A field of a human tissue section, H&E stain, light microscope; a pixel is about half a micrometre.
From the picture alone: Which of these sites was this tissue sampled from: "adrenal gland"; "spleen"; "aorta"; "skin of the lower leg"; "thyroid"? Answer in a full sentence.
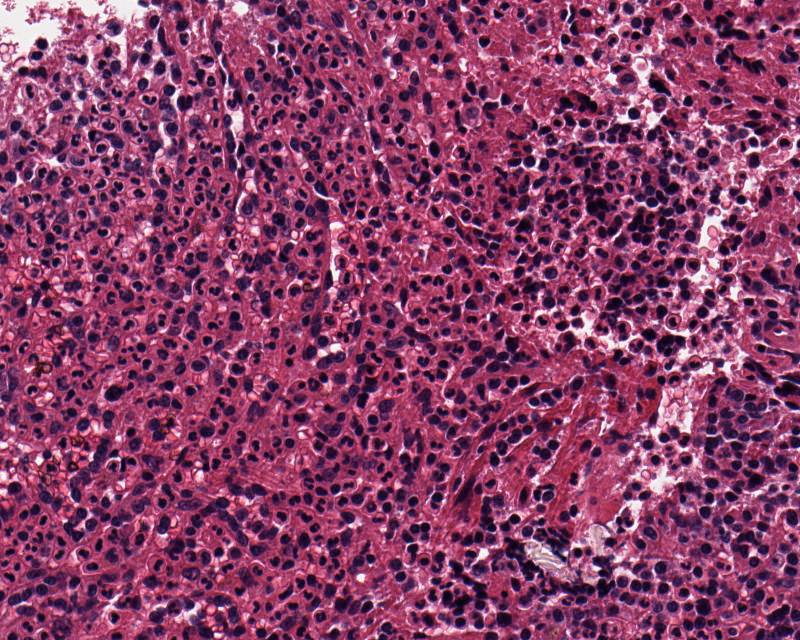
The site this tissue was sampled from is the spleen.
